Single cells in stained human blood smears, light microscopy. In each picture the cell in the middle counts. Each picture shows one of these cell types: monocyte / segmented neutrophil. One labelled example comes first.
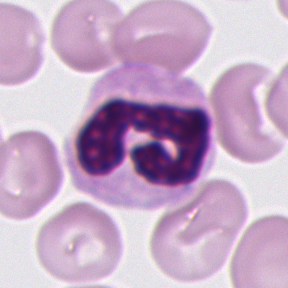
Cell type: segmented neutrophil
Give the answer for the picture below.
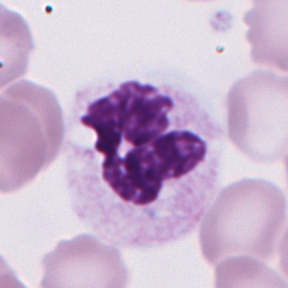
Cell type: segmented neutrophil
